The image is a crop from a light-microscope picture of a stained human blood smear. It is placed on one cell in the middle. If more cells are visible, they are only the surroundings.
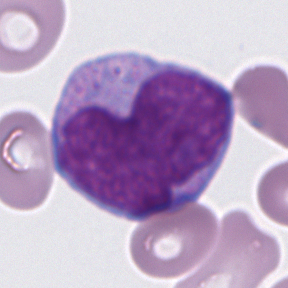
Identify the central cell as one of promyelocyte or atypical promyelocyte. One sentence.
Here the cell in the middle is an atypical promyelocyte.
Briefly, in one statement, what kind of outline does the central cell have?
In short, the margin is smooth with no projections at all.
